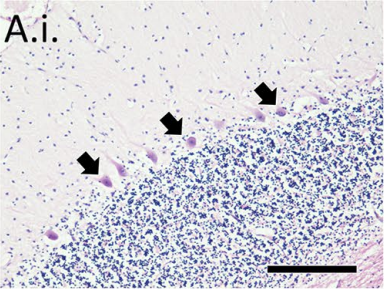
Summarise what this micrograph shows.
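Cerebellar cortex with a pale, sparsely cellular molecular layer above a densely packed granular layer of small dark nuclei. Along the border between them lies a row of large flask-shaped Purkinje cells with pink cytoplasm.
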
